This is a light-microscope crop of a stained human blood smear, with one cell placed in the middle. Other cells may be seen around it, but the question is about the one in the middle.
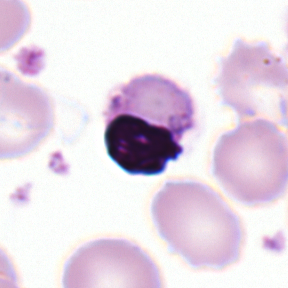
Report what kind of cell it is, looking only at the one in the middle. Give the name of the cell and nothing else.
erythroblast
